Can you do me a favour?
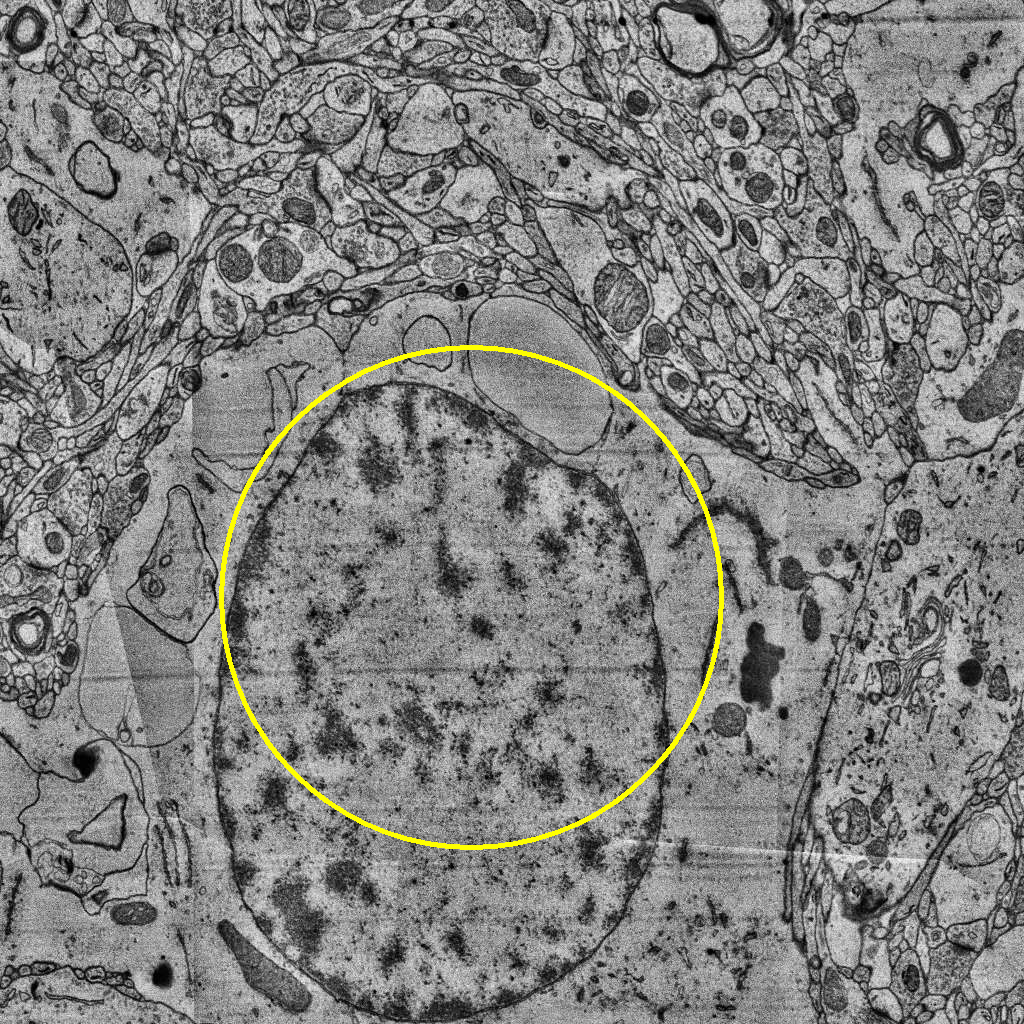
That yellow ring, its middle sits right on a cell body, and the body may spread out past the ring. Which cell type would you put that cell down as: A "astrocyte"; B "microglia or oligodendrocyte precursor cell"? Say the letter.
A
